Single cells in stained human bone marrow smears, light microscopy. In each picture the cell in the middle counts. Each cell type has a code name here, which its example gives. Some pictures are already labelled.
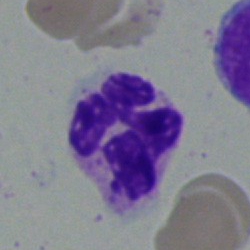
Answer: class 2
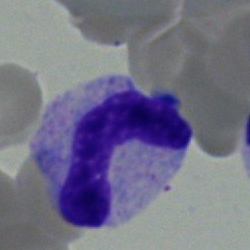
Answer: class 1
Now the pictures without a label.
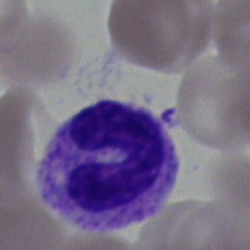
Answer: class 1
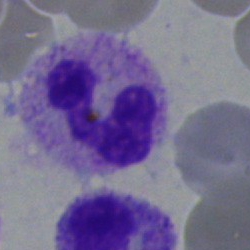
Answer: class 2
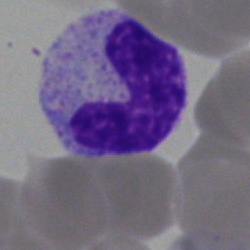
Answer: class 1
